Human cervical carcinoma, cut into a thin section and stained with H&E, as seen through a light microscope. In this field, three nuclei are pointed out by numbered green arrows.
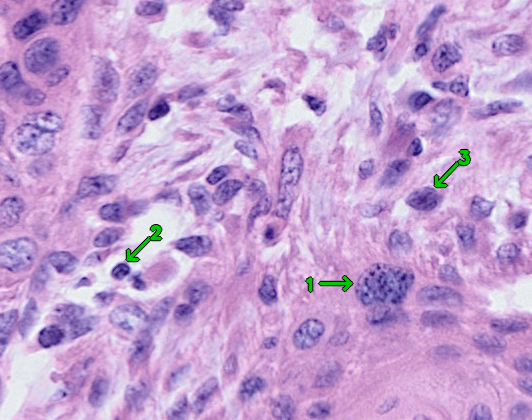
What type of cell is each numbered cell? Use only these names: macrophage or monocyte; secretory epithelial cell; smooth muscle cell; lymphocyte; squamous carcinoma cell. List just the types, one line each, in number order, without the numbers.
squamous carcinoma cell
lymphocyte
macrophage or monocyte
